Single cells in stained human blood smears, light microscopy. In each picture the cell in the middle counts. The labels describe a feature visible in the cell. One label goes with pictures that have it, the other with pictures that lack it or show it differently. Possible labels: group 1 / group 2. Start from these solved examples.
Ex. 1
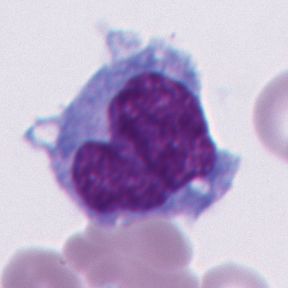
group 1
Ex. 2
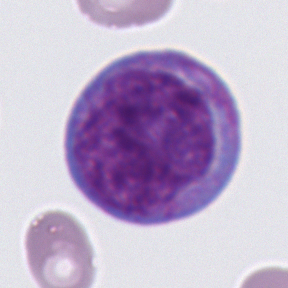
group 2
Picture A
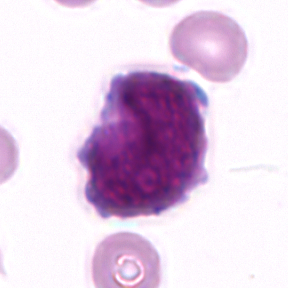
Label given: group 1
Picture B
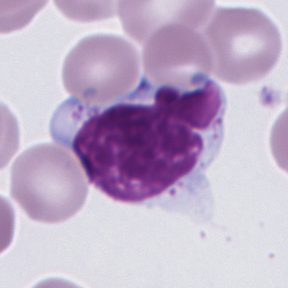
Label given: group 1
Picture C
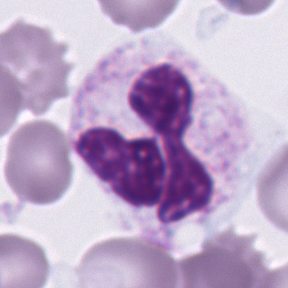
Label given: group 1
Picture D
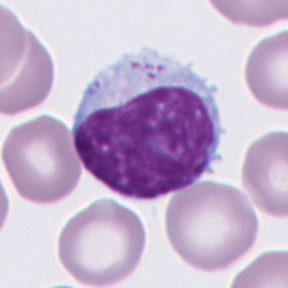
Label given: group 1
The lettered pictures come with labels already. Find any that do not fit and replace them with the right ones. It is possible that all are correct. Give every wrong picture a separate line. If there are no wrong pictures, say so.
C: group 2, not group 1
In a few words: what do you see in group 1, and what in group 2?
group 1: ragged outline or projections; group 2: smooth outline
